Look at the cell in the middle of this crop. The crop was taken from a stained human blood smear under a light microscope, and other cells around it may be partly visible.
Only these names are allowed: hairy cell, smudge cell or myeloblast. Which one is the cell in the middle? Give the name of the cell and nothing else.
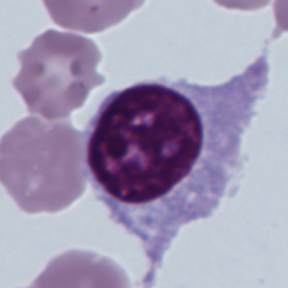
hairy cell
